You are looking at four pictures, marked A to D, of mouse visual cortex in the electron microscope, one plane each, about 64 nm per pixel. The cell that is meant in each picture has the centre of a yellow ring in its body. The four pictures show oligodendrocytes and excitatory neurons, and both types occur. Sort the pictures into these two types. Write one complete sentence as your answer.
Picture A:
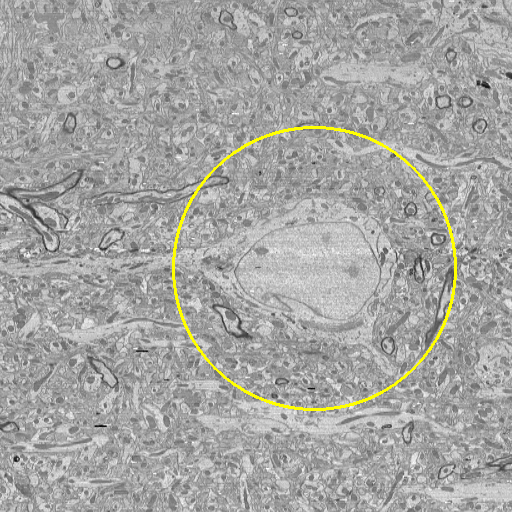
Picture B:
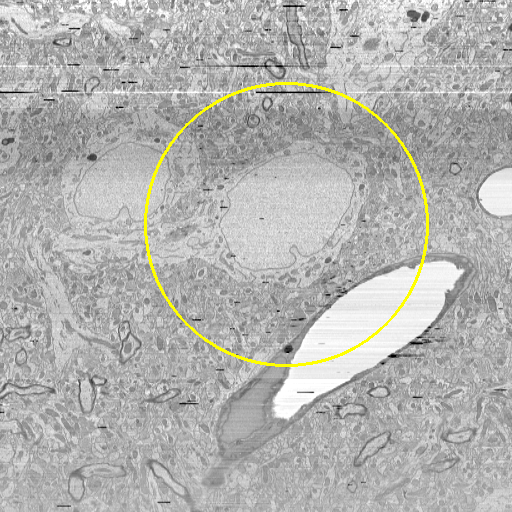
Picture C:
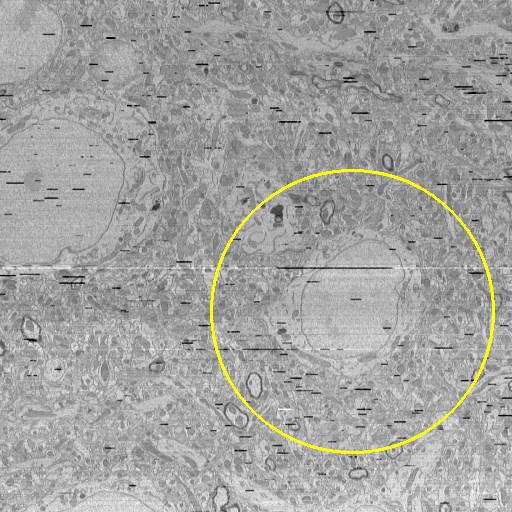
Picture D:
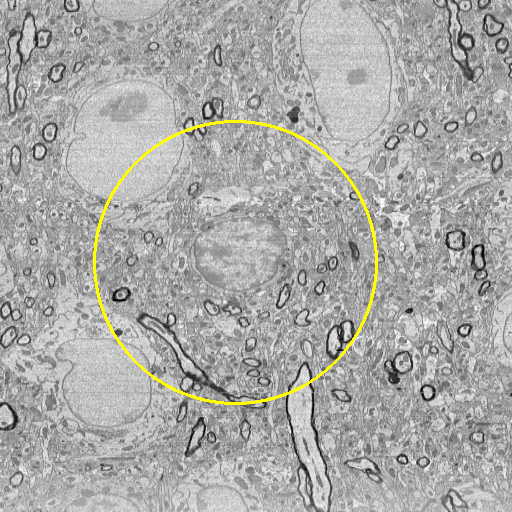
Picture D shows an oligodendrocyte, while pictures A, B and C show excitatory neurons.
